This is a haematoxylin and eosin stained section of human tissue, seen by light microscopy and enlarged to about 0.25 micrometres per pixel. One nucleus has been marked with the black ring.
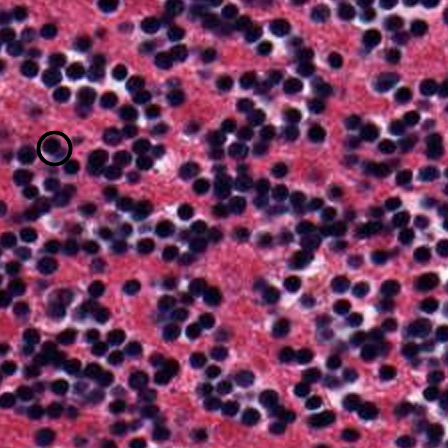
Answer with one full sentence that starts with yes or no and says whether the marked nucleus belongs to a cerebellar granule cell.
Yes, the marked nucleus is identified as that of a cerebellar granule cell.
